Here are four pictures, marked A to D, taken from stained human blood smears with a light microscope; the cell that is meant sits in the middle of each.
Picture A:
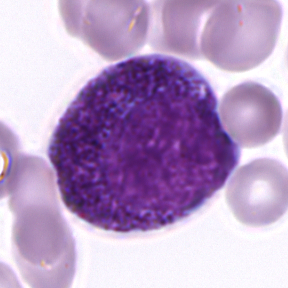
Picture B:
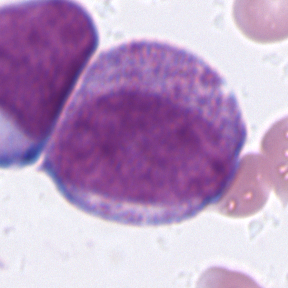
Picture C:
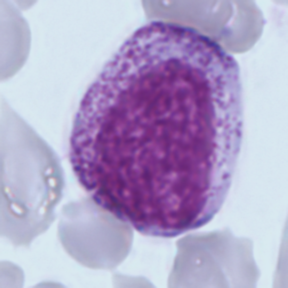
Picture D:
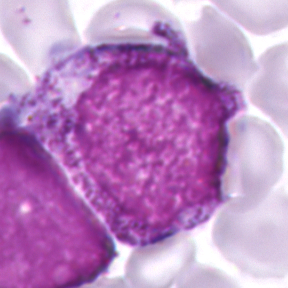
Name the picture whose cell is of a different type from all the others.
D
